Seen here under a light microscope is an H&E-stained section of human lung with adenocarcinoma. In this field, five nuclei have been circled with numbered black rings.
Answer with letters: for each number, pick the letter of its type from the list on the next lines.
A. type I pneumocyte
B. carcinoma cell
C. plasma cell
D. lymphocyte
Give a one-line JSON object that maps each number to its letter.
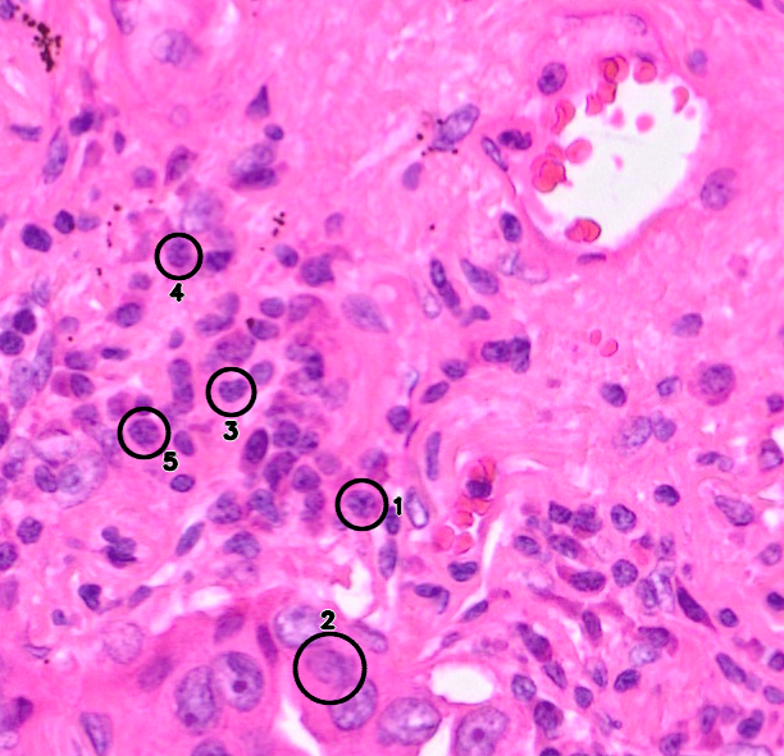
{"1": "C", "2": "B", "3": "D", "4": "C", "5": "C"}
